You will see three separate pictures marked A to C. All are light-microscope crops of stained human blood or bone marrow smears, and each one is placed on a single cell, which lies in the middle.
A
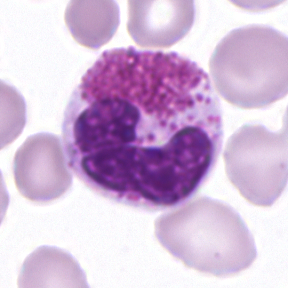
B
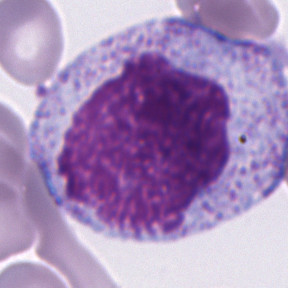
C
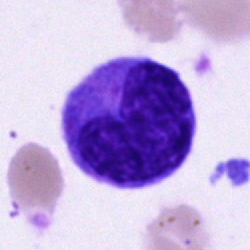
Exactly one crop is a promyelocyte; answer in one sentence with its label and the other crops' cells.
Crop B is read as a promyelocyte, while crop A is an eosinophil and crop C is a monocyte.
